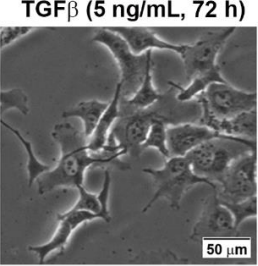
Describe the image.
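These are cultured cells that have taken on a loose, mesenchymal-like appearance. Rather than forming tight cobblestone islands, the cells are spread out with gaps between them, and many have become elongated or irregular in outline. Several cells send out long, slender, bright processes that reach toward neighbouring cells or end freely. Nuclei remain round to oval with visible nucleoli, sitting in cytoplasm that is drawn out along the cell's length. Contacts between cells are fewer and looser, often made only by the tips of processes. The change from a sheet-like arrangement to scattered, spindle-like cells is the main feature to notice.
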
